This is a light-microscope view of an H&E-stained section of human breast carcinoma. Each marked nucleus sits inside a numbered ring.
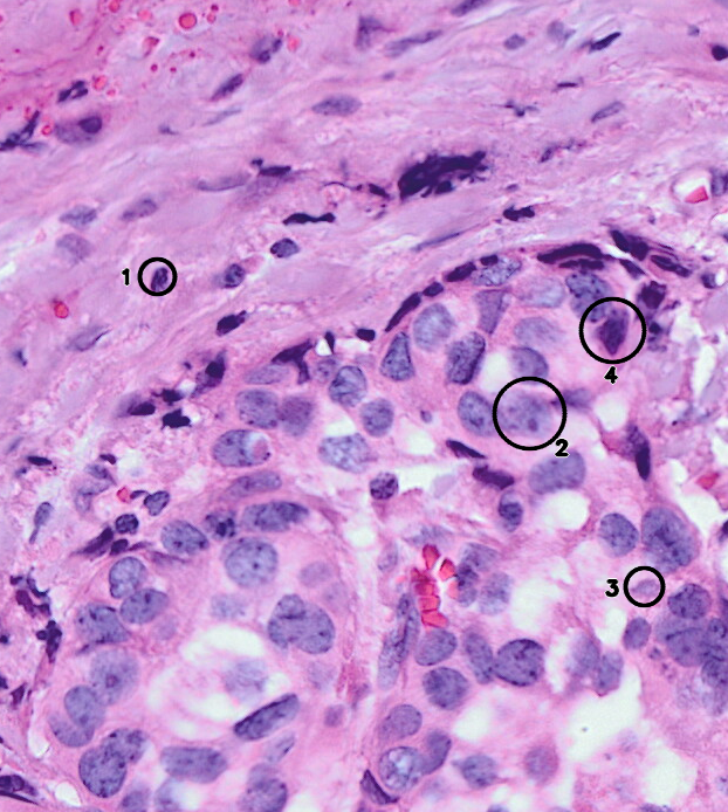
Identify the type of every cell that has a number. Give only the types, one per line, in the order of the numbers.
lymphocyte
carcinoma cell
carcinoma cell
carcinoma cell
